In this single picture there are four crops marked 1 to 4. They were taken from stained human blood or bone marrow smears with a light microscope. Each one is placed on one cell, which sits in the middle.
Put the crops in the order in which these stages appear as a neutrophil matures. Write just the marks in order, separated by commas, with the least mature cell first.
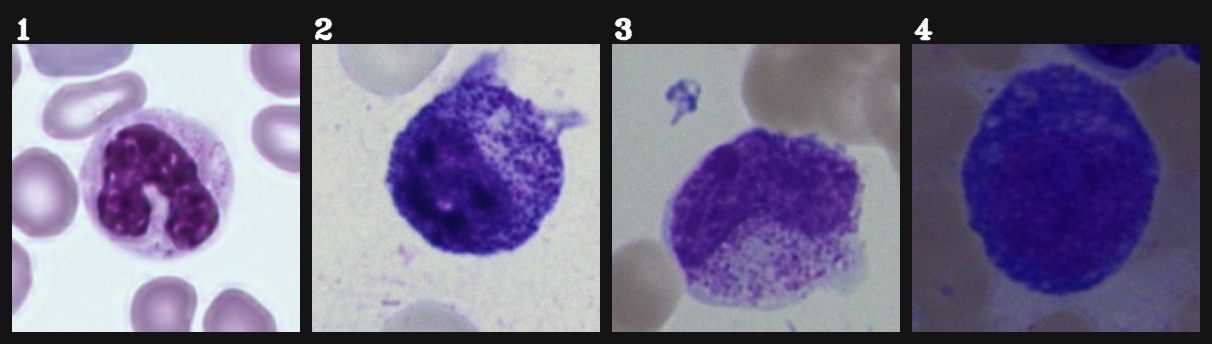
4, 2, 3, 1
